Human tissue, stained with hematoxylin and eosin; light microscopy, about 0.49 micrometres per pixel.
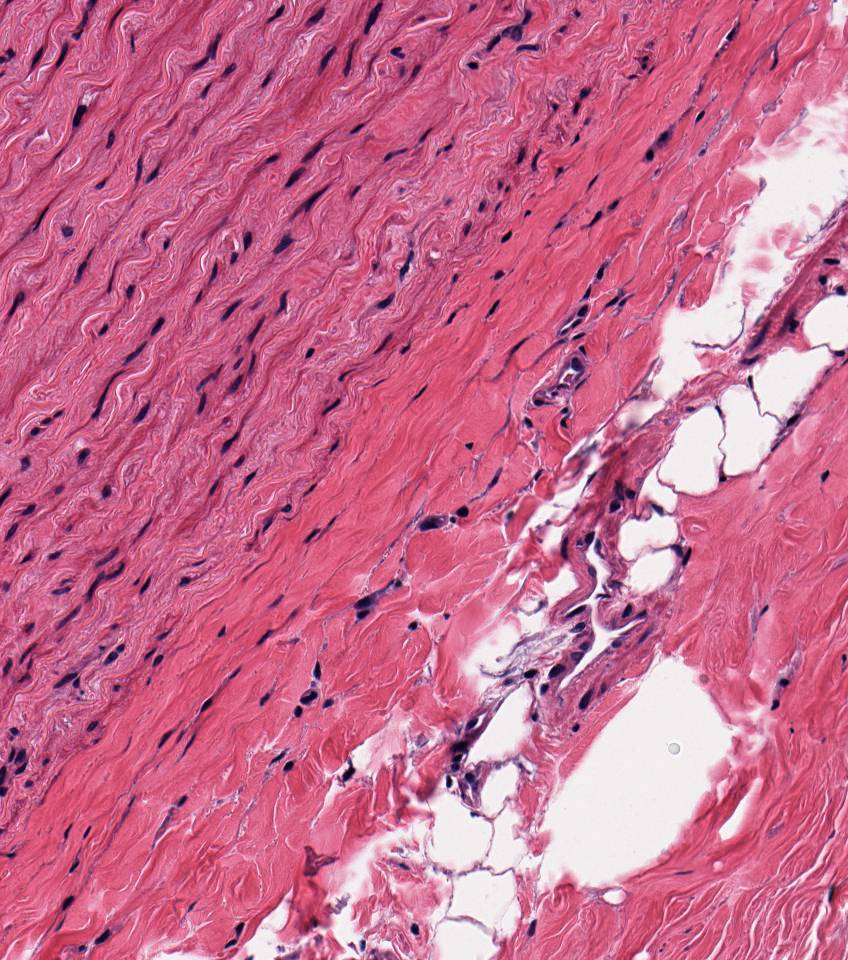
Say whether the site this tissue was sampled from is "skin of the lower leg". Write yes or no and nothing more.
no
